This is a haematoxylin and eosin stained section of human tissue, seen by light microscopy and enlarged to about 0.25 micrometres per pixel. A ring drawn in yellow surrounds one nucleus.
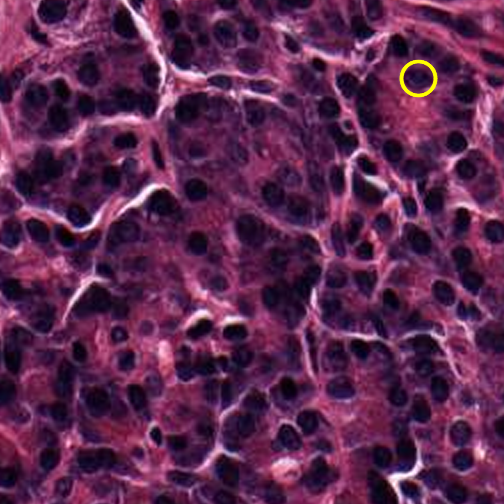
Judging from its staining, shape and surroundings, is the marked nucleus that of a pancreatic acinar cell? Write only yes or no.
yes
